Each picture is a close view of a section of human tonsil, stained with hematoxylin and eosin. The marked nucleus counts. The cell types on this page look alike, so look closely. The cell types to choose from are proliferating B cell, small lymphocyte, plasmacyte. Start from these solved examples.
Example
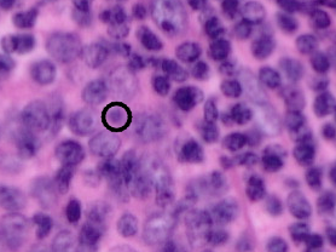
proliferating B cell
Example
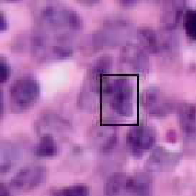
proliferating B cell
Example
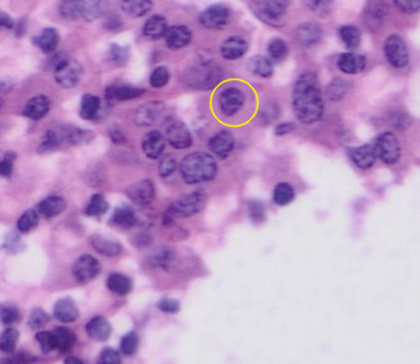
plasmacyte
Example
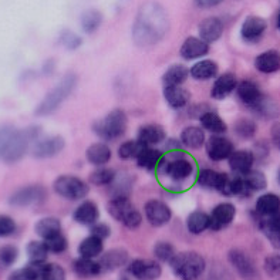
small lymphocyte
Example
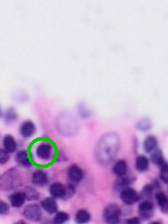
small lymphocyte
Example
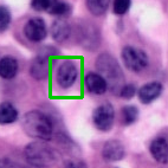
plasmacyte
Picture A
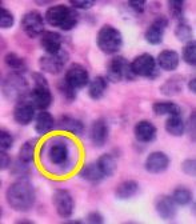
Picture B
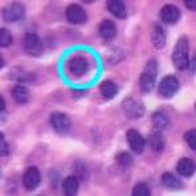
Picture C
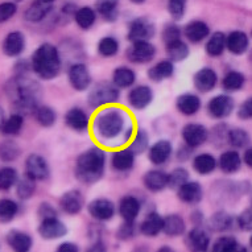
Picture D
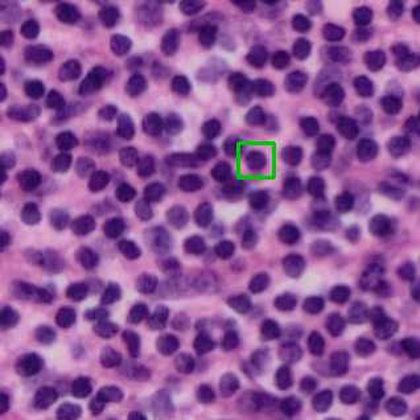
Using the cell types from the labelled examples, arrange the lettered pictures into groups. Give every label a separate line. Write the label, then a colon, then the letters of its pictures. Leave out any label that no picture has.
small lymphocyte: A, C, D
plasmacyte: B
